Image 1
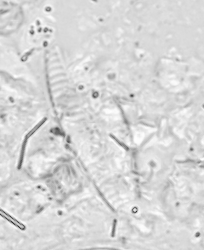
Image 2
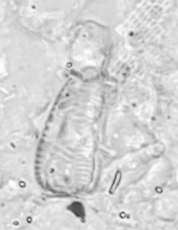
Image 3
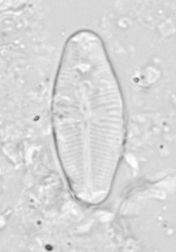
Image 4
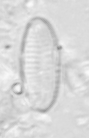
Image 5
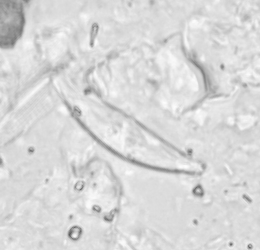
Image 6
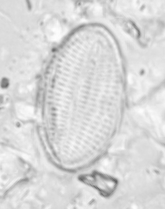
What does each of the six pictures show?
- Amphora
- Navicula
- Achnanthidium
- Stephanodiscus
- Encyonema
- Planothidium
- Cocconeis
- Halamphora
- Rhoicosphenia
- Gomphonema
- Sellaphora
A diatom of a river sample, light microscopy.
1. Gomphonema
2. Gomphonema
3. Sellaphora
4. Achnanthidium
5. Halamphora
6. Cocconeis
